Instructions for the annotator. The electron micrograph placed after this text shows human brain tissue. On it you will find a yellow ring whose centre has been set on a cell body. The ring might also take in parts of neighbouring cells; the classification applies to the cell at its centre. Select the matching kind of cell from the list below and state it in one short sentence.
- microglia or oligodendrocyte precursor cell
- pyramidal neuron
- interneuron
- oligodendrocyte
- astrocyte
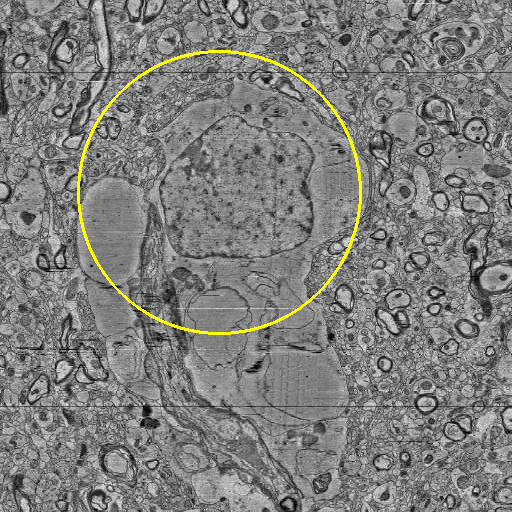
The ring is drawn on the cell body of an astrocyte.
